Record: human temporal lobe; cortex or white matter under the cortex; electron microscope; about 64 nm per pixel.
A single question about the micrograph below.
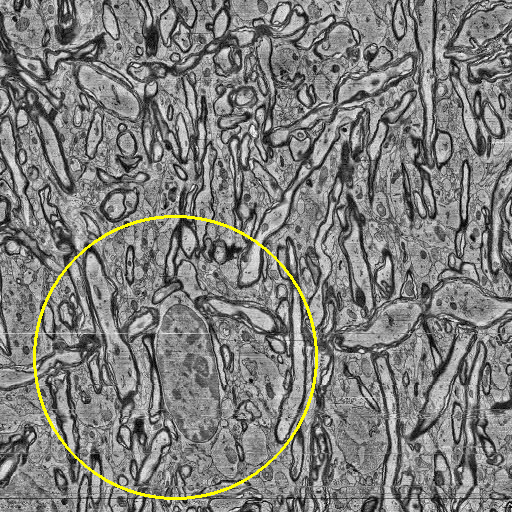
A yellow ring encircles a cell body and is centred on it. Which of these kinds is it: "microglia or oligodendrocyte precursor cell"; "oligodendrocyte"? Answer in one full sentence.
The cell body at the centre of the yellow ring belongs to a microglial cell or oligodendrocyte precursor cell.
